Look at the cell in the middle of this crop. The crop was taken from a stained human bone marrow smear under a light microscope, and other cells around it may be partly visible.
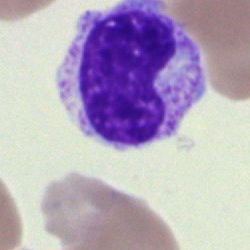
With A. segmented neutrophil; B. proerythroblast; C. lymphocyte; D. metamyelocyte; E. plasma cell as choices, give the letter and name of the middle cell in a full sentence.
Identified correctly by option D, the cell in the middle is a metamyelocyte.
